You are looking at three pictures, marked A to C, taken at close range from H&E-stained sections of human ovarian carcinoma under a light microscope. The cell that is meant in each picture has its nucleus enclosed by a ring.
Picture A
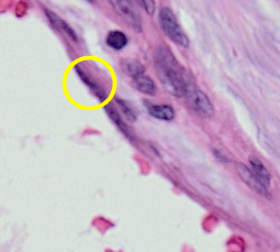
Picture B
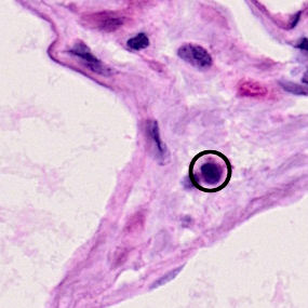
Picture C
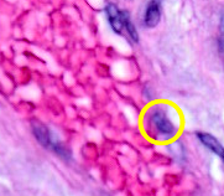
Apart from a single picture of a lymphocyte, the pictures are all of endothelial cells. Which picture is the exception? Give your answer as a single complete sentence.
The cell in picture B is the lymphocyte.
